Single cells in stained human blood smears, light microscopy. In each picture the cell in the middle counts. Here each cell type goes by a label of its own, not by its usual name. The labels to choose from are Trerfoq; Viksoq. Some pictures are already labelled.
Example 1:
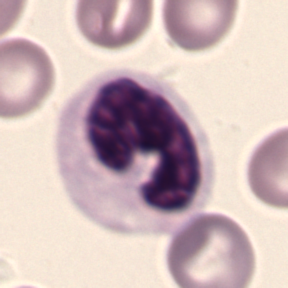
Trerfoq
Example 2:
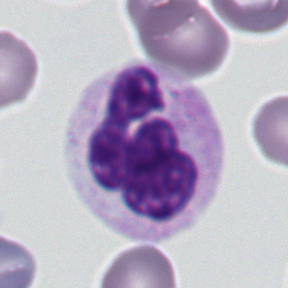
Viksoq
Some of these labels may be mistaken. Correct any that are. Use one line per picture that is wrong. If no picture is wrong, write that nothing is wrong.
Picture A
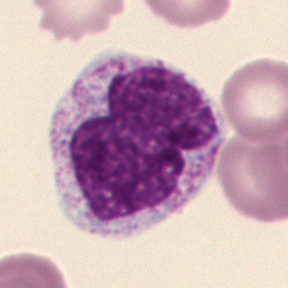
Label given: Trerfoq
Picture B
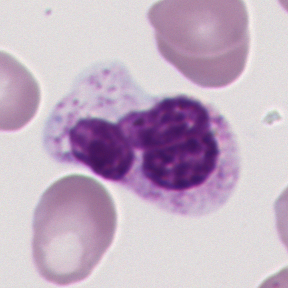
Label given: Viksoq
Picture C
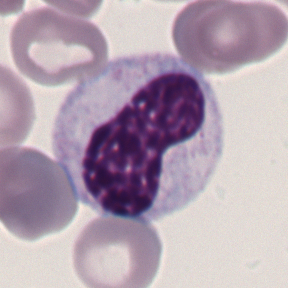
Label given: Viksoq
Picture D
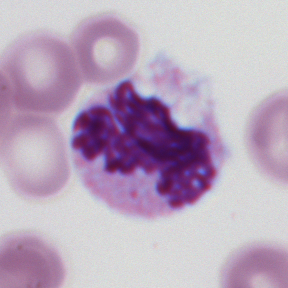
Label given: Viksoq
C is labelled Viksoq; correct label: Trerfoq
